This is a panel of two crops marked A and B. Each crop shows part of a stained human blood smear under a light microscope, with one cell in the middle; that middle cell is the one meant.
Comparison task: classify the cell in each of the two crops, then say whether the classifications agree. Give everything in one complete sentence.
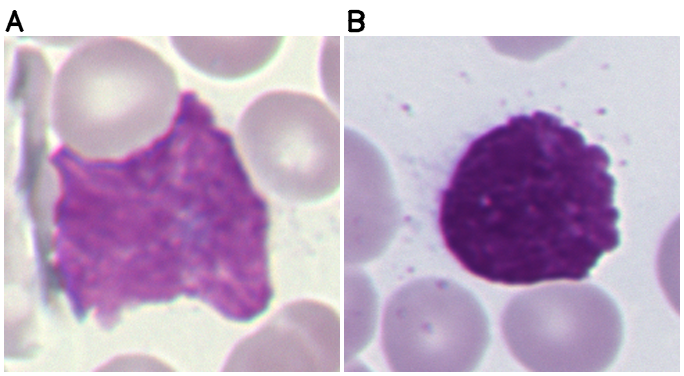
Yes, both crops show smudge cells as their central cells.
